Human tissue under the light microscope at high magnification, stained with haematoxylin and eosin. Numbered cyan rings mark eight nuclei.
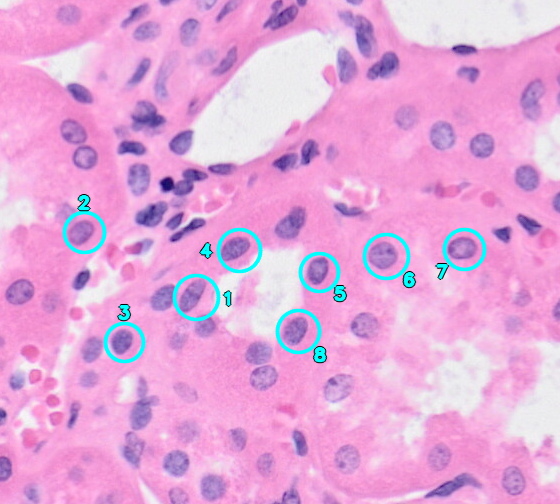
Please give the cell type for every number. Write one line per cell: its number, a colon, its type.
1: loop of Henle or distal tubule cell
2: proximal tubule cell
3: loop of Henle or distal tubule cell
4: loop of Henle or distal tubule cell
5: loop of Henle or distal tubule cell
6: proximal tubule cell
7: proximal tubule cell
8: loop of Henle or distal tubule cell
